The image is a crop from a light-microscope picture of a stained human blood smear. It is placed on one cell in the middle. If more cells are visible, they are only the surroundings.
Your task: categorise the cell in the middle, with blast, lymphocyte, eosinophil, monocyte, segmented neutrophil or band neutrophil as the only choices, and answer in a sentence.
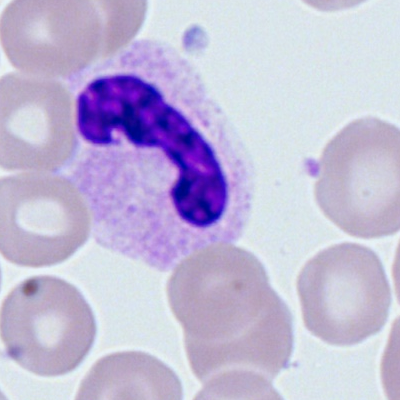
The middle of this crop holds a band neutrophil.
